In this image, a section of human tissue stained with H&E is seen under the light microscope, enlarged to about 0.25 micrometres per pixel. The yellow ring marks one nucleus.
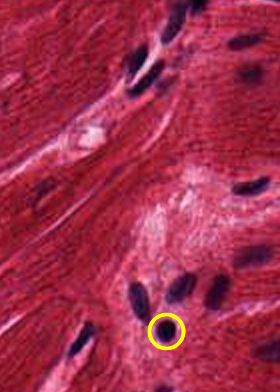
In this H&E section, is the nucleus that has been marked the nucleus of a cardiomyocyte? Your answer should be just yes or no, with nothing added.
no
